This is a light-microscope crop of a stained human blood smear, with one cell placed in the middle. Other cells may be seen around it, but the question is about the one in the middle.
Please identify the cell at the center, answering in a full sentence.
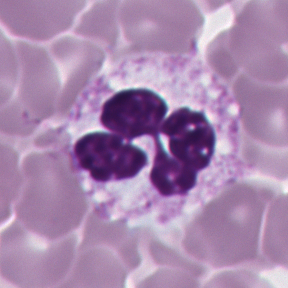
The center cell of this crop is a neutrophil.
